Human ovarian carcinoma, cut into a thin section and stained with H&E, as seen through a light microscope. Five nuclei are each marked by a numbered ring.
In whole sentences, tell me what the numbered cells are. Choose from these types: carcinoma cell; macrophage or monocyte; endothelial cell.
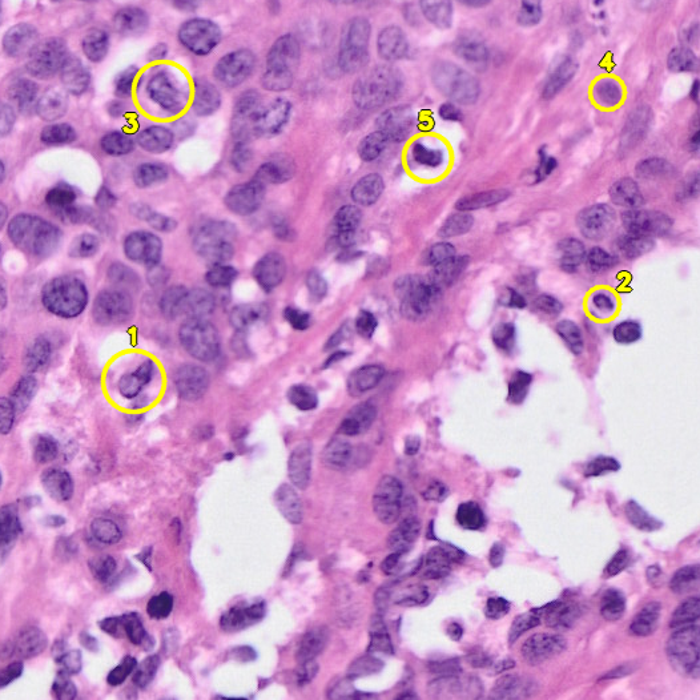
Cells 1, 2 and 3 are macrophages or monocytes. Cell 4 is an endothelial cell. Cell 5 is a carcinoma cell.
